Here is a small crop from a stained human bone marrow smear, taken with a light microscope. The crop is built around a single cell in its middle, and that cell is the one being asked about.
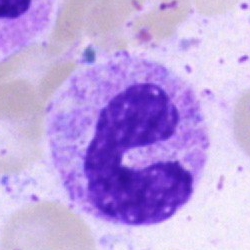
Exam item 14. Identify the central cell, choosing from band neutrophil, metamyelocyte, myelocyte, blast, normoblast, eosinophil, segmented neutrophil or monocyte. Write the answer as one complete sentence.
The cell at the heart of this crop is a band neutrophil.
